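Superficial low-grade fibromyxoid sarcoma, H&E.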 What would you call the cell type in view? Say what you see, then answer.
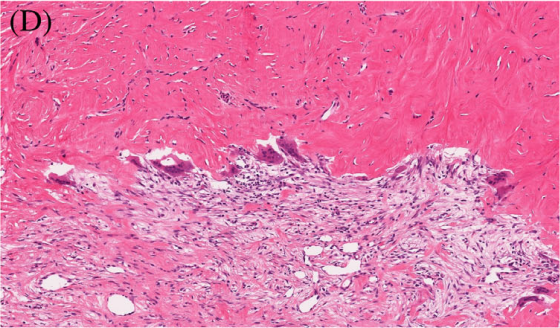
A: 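Large cells with several dark nuclei line the edge of dense pink collagen. They sit at the border between hyalinized collagen and looser cellular tissue.
Conclusion: multinucleated giant cells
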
